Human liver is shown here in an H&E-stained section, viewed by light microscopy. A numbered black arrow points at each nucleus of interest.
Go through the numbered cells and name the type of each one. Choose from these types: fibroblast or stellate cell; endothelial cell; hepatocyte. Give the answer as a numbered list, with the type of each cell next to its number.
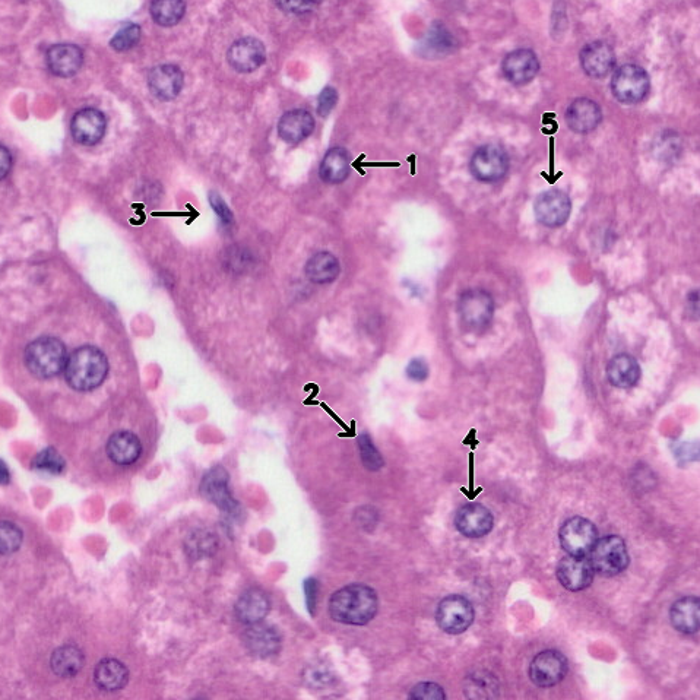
1. hepatocyte
2. fibroblast or stellate cell
3. endothelial cell
4. hepatocyte
5. hepatocyte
